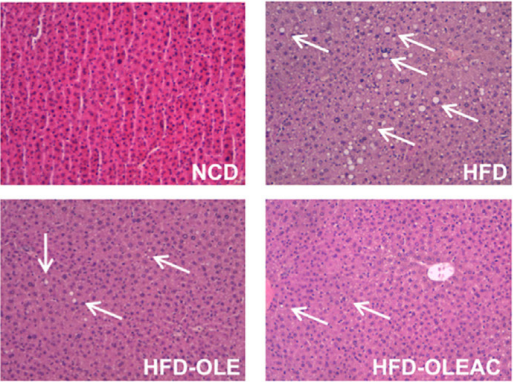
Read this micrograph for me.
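These are four fields of liver tissue stained pink and purple. They show sheets of hepatocytes with small purple nuclei. In one field the hepatocytes are packed in regular cords with narrow pale sinusoids between them and no clear holes. In the others, round, clear, empty-looking fat vacuoles of varying size lie among the cells. They are most numerous in one field and sparse in the other two.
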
